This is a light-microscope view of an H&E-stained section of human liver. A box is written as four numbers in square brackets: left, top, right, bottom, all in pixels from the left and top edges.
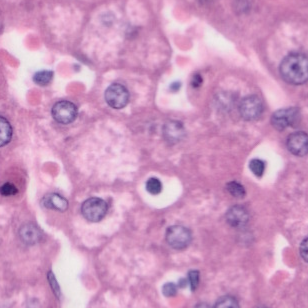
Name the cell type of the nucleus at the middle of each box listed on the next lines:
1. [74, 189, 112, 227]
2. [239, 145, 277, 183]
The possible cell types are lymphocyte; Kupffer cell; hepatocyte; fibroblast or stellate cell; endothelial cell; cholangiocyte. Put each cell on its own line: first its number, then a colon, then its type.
1: hepatocyte
2: lymphocyte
